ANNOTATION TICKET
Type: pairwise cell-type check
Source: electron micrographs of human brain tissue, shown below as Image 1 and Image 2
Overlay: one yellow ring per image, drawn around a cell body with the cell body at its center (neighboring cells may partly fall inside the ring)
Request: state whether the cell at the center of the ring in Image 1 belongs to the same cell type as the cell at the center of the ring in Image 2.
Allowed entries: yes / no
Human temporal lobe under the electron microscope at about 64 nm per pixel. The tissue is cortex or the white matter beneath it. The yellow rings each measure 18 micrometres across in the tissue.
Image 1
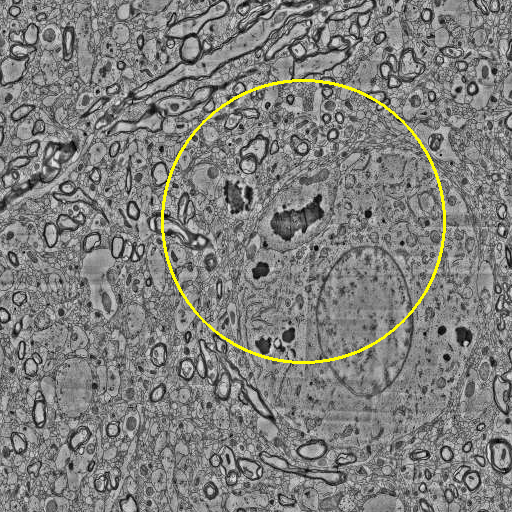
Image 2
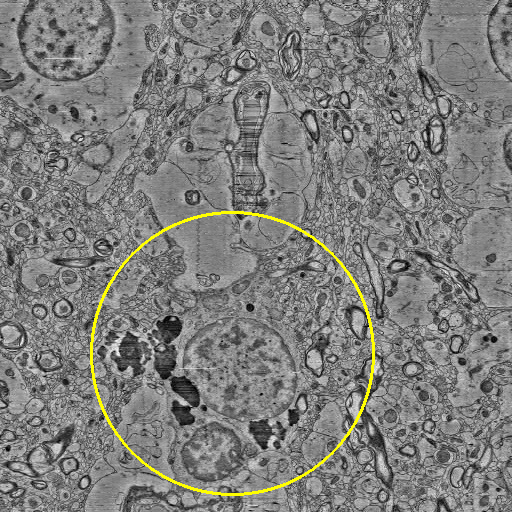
yes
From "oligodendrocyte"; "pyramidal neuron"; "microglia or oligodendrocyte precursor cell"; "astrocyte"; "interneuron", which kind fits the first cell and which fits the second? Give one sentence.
Each cell, in the first picture and the second, is an oligodendrocyte.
